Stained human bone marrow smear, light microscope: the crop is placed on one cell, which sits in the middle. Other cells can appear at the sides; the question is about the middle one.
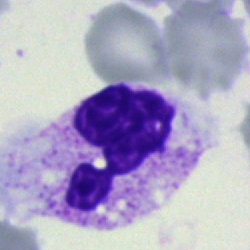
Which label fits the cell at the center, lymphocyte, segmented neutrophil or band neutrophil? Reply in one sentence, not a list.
By type, the central cell of the crop is a segmented neutrophil.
